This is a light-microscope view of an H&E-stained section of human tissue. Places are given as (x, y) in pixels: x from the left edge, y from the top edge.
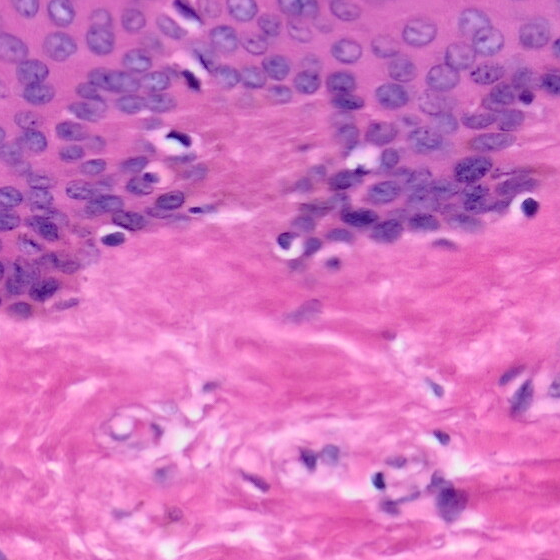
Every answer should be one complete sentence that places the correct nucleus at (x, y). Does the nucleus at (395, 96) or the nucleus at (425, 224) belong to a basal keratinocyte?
That would be the nucleus at (425, 224); it belongs to a basal keratinocyte.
